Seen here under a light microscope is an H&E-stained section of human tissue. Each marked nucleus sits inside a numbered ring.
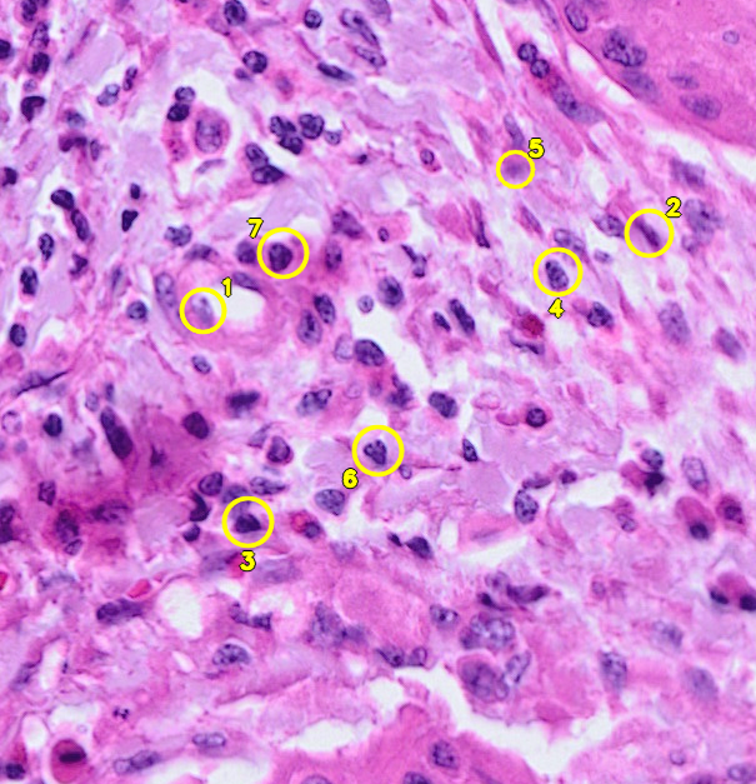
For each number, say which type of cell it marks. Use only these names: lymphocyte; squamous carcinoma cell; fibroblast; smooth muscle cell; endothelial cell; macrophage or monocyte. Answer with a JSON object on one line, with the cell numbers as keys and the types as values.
{"1": "endothelial cell", "2": "fibroblast", "3": "lymphocyte", "4": "lymphocyte", "5": "fibroblast", "6": "lymphocyte", "7": "lymphocyte"}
